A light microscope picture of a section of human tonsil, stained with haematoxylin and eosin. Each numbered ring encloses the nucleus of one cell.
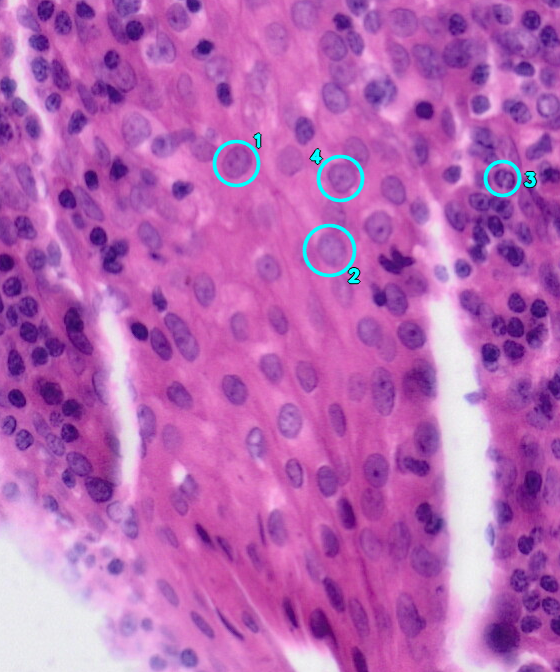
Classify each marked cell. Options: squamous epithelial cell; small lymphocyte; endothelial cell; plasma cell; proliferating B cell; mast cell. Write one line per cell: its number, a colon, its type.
1: squamous epithelial cell
2: squamous epithelial cell
3: plasma cell
4: squamous epithelial cell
